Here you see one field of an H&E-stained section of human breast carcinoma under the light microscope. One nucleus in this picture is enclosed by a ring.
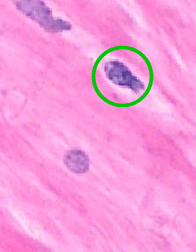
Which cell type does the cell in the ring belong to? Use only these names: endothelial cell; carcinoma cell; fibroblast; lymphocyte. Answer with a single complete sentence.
In this section of tissue, the cell in the ring is a lymphocyte.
